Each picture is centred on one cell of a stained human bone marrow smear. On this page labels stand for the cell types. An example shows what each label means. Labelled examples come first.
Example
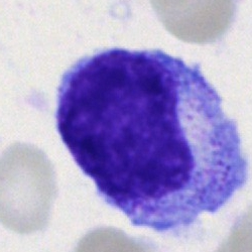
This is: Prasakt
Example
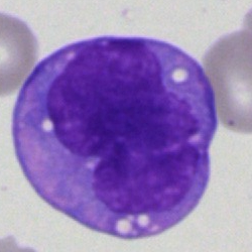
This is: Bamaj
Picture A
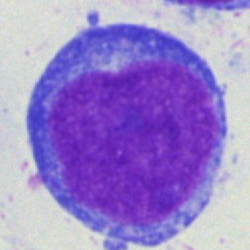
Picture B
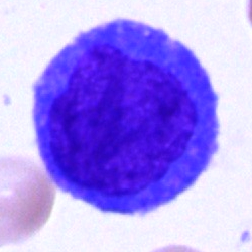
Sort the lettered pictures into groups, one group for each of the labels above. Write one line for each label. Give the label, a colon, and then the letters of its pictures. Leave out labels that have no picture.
Bamaj: A, B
